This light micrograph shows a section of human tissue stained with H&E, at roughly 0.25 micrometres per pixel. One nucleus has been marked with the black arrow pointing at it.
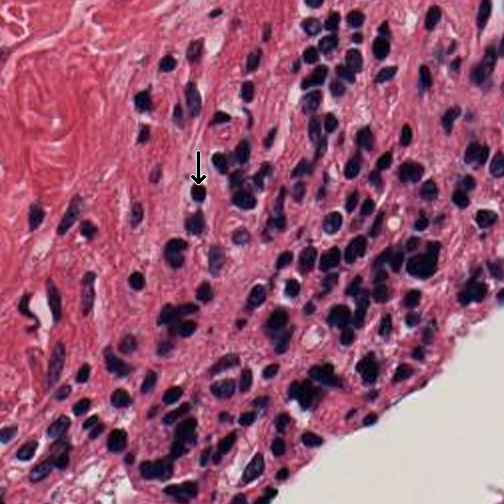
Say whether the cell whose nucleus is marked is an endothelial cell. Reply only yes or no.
no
